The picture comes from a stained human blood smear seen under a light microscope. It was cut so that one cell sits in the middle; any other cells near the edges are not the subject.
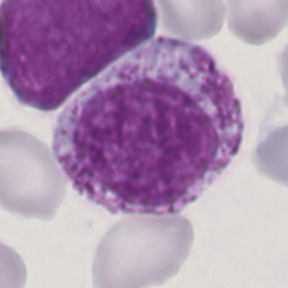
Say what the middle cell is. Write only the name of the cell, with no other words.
myelocyte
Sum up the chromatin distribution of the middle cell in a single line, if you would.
The chromatin remains finely textured, with no coarse clumps to speak of.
